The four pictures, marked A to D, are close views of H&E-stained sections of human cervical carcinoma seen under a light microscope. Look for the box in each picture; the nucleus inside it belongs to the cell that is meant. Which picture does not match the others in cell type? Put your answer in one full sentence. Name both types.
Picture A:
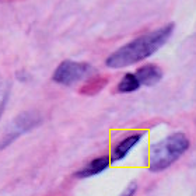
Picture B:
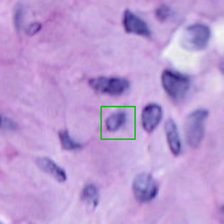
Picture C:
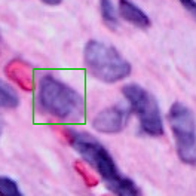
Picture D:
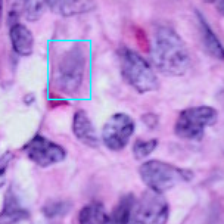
The others show endothelial cells, but picture B shows a fibroblast.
